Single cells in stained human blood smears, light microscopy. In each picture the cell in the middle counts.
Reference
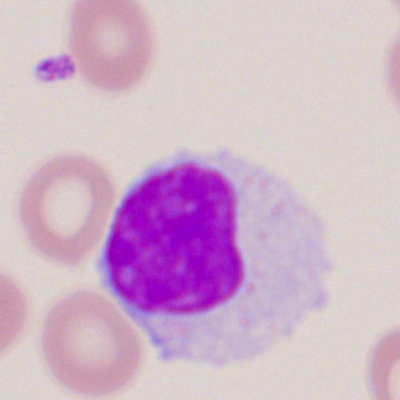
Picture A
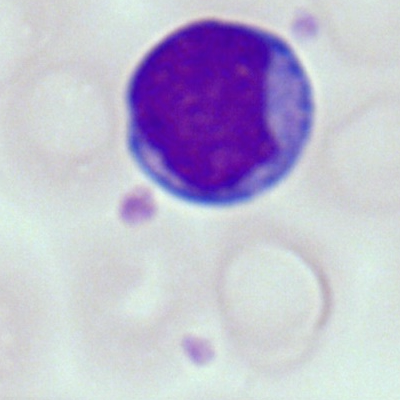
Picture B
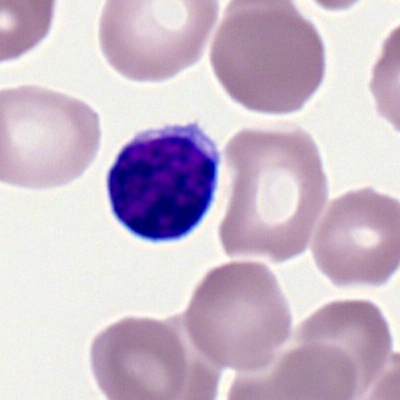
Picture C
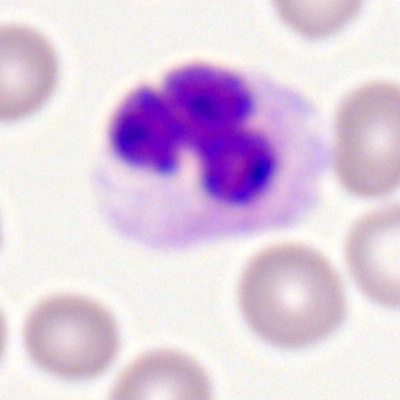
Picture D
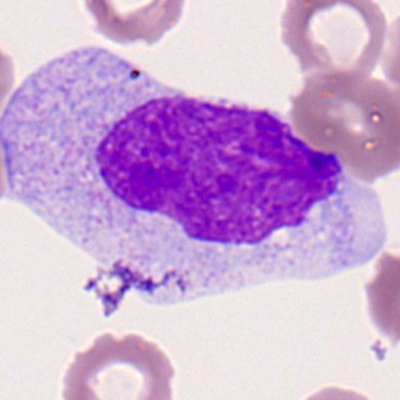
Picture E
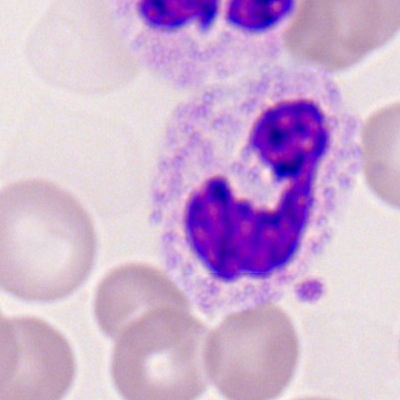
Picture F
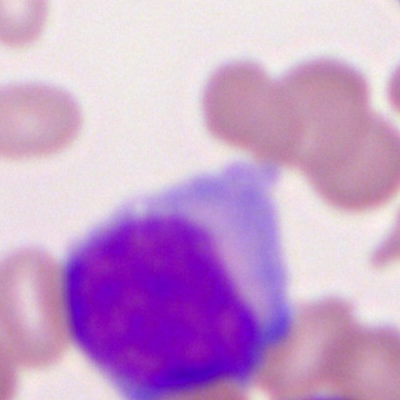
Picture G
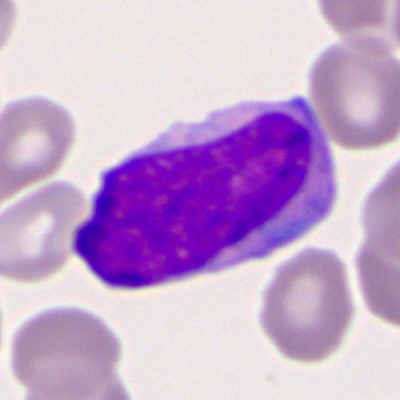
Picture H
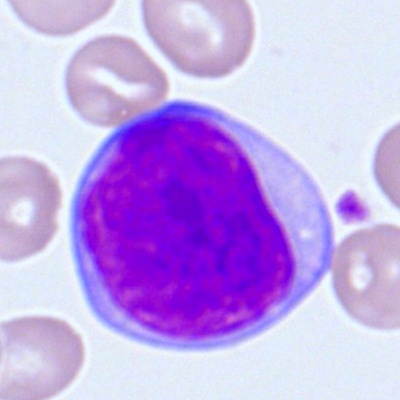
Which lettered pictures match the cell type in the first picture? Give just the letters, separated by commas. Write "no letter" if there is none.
B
